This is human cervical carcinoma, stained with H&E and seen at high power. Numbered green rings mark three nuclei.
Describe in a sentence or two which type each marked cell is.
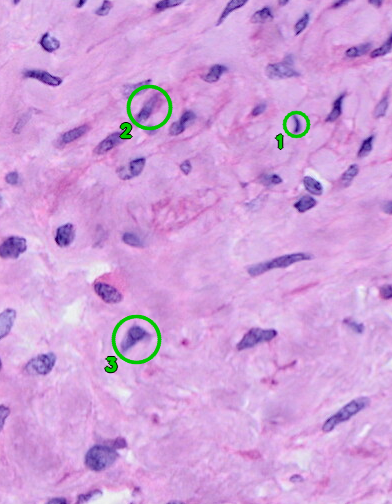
Cell 1 is a fibroblast, cell 2 is a smooth muscle cell and cell 3 is a fibroblast.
